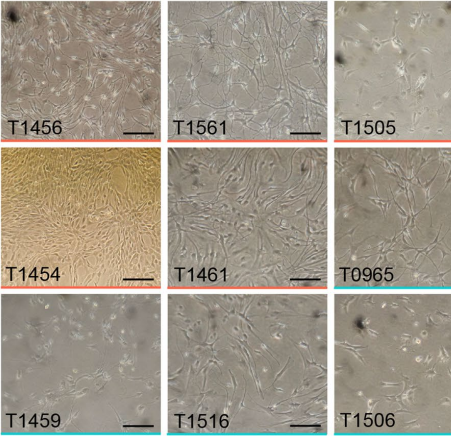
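This block holds nine unstained views of adherent cultured cells seen by transmitted light. Most fields show elongated, spindle-shaped or bipolar cells with long, thin processes that reach toward neighbouring cells. In several fields the cells are sparse, with open background between them, and some small round, bright cells lie among the flattened ones. One field with a yellowish background is densely crowded with closely packed elongated cells that almost cover the surface. Other fields show looser networks of cells whose slender processes cross one another.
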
